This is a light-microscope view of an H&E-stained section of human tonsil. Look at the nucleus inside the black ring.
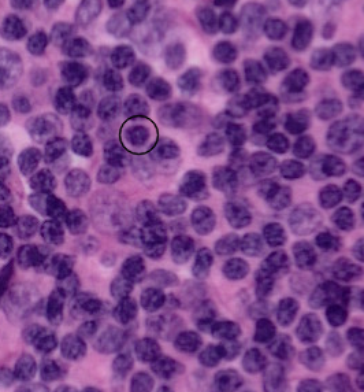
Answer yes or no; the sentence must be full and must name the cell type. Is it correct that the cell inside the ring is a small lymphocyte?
Yes, the naming of the cell inside the ring as a small lymphocyte is correct.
